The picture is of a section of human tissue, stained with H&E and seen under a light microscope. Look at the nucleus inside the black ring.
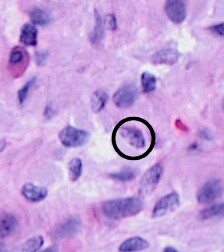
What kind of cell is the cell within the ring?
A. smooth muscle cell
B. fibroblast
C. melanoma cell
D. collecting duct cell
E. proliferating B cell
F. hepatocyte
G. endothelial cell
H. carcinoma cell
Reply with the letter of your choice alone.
B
